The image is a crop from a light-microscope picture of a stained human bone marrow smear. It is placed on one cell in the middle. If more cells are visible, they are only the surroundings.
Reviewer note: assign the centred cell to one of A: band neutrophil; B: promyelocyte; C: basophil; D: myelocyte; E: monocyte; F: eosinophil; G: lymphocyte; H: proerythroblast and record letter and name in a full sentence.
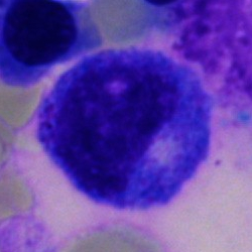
The cell at the heart of the crop is a promyelocyte, so choose option B.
